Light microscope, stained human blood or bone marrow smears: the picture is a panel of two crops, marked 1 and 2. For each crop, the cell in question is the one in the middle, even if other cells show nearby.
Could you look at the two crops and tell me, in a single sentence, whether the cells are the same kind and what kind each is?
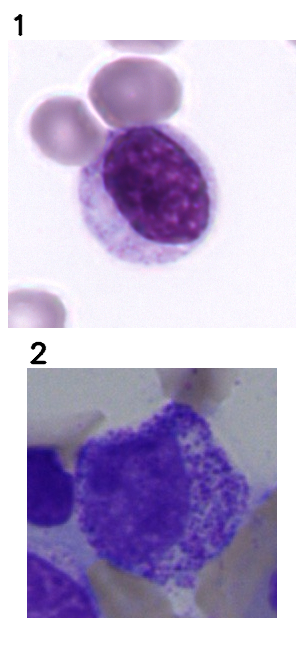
No, sorry, crop 1 shows a metamyelocyte and crop 2 shows a myelocyte.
